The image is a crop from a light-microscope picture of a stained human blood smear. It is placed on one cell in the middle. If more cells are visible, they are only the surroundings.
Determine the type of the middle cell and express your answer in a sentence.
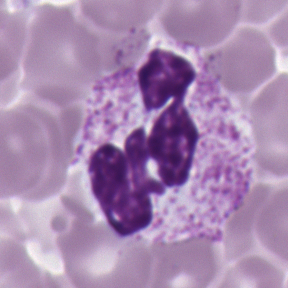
The cell of interest, in the center, is a segmented neutrophil.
